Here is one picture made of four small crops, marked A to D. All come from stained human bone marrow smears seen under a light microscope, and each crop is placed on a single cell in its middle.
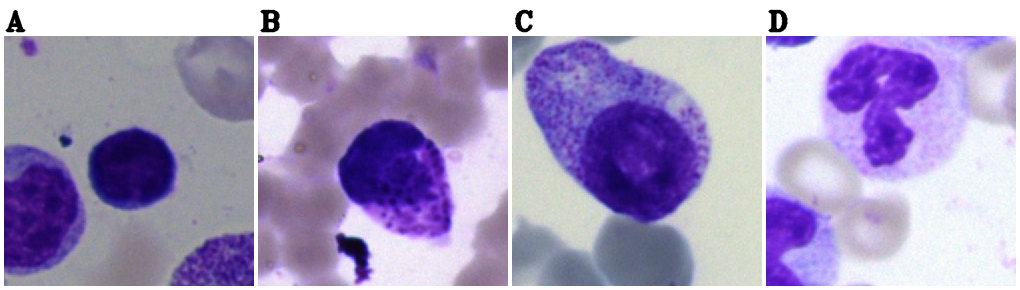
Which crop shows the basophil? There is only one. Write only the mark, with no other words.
B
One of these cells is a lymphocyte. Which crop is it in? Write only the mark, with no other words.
A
